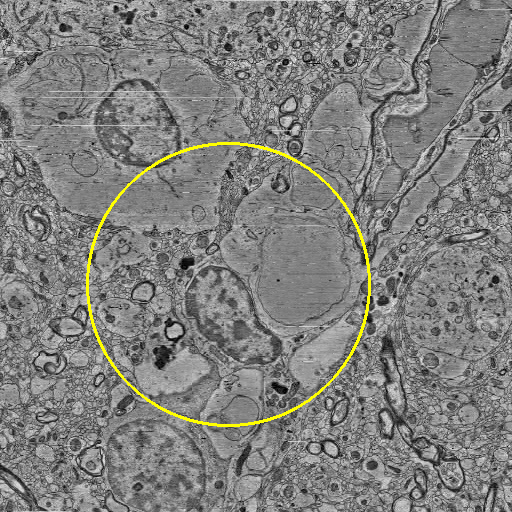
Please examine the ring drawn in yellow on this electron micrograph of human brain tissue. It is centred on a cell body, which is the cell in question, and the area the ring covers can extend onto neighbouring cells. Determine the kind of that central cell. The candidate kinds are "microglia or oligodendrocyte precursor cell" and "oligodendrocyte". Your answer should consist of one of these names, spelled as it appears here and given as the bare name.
microglia or oligodendrocyte precursor cell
